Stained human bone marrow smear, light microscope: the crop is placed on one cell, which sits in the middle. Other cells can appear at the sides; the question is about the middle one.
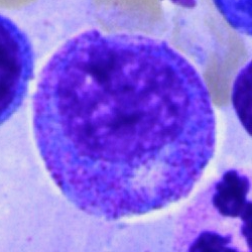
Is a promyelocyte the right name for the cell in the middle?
yes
